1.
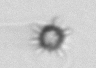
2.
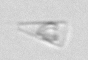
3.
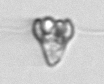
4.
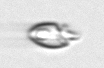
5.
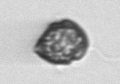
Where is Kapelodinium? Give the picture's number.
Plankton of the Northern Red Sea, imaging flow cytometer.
4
